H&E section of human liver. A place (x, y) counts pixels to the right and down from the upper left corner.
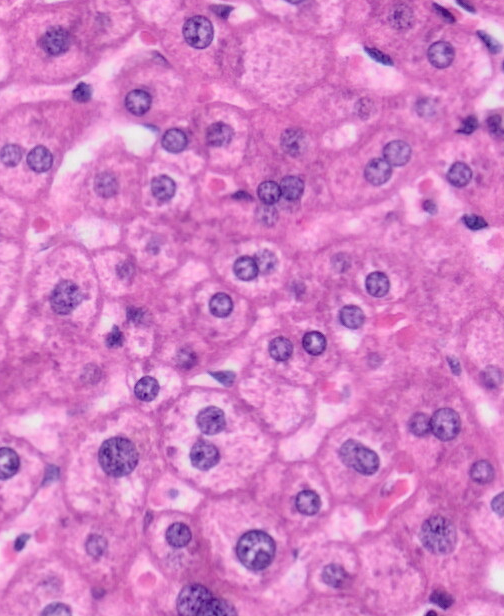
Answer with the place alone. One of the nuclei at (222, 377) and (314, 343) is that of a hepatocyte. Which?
(314, 343)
